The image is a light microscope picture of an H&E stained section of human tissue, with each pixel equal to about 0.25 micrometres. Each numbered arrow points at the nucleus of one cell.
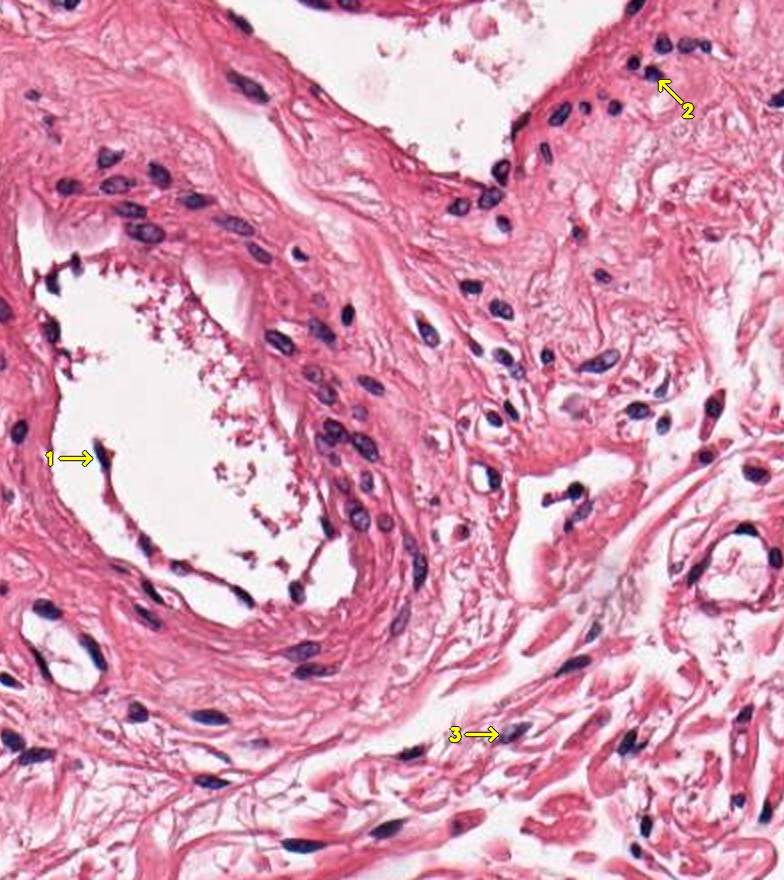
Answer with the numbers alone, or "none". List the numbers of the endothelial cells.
1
